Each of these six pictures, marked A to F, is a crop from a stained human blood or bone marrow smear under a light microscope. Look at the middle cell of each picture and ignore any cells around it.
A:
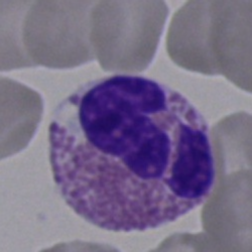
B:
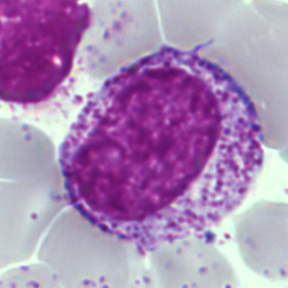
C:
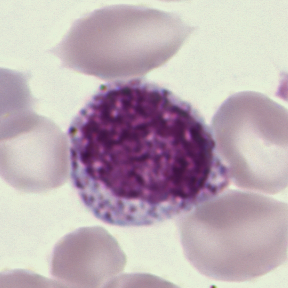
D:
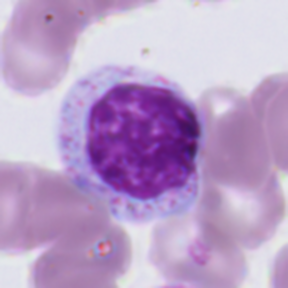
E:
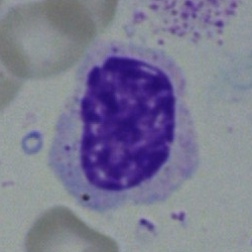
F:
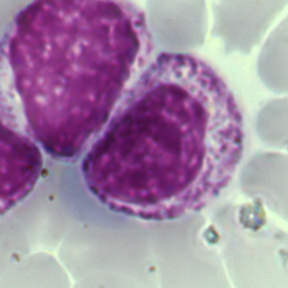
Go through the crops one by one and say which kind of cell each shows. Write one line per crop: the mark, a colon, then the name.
A: eosinophil
B: myelocyte
C: myelocyte
D: myelocyte
E: myelocyte
F: myelocyte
